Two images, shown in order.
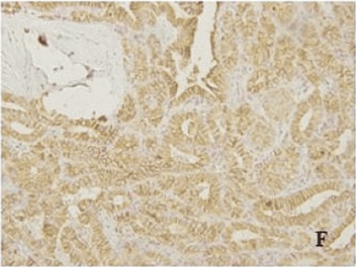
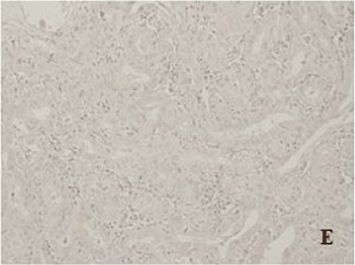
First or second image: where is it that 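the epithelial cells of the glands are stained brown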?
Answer: The first image.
